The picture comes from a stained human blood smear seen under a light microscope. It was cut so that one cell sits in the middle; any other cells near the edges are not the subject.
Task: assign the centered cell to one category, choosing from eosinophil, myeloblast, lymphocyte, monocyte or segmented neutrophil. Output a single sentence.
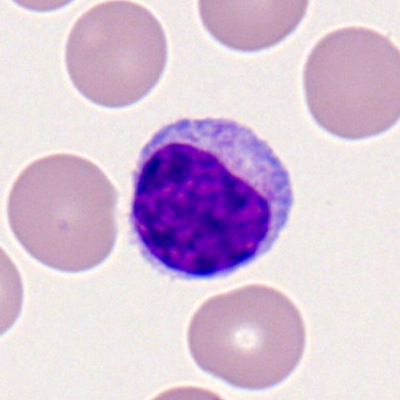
As for the cell in the middle, it is a lymphocyte.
